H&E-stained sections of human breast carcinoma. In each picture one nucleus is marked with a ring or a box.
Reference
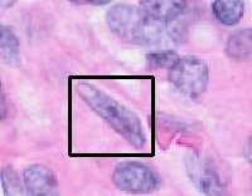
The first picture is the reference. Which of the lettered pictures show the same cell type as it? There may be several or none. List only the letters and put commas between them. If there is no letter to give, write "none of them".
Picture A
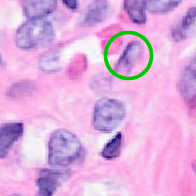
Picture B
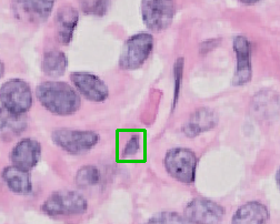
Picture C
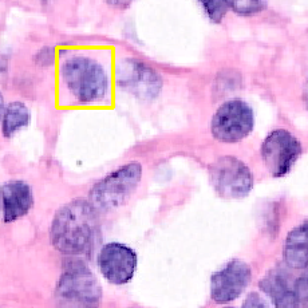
A, B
